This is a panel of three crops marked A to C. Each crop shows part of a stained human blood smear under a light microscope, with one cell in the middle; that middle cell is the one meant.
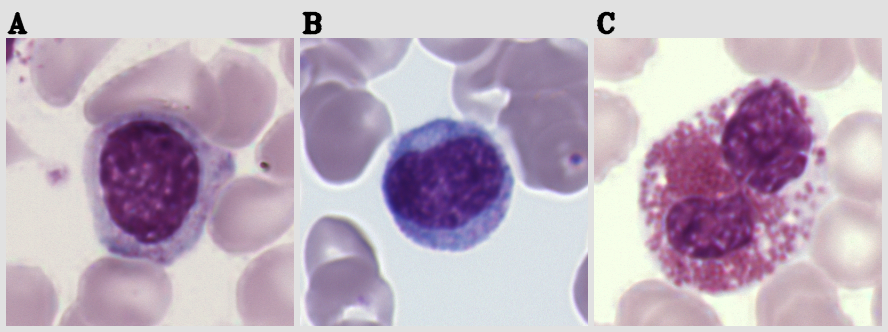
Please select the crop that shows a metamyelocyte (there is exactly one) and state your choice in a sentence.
Of the crops given, a metamyelocyte is found in crop A.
